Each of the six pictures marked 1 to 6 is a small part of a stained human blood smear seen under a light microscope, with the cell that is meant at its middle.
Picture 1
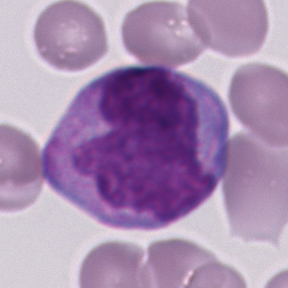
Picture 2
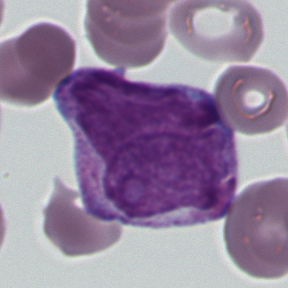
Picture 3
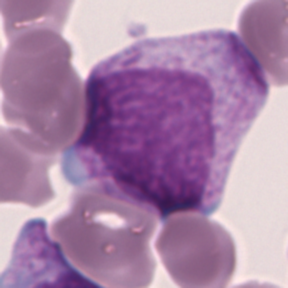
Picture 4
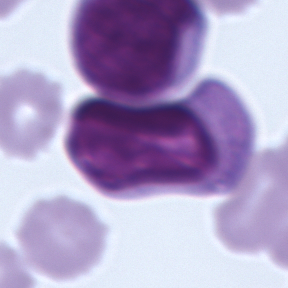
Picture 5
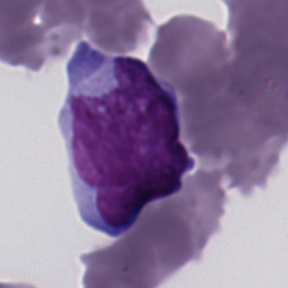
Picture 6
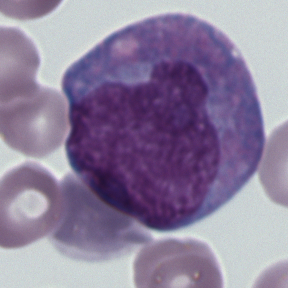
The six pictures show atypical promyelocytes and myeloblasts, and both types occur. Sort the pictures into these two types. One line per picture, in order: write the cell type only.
atypical promyelocyte
atypical promyelocyte
atypical promyelocyte
myeloblast
myeloblast
atypical promyelocyte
